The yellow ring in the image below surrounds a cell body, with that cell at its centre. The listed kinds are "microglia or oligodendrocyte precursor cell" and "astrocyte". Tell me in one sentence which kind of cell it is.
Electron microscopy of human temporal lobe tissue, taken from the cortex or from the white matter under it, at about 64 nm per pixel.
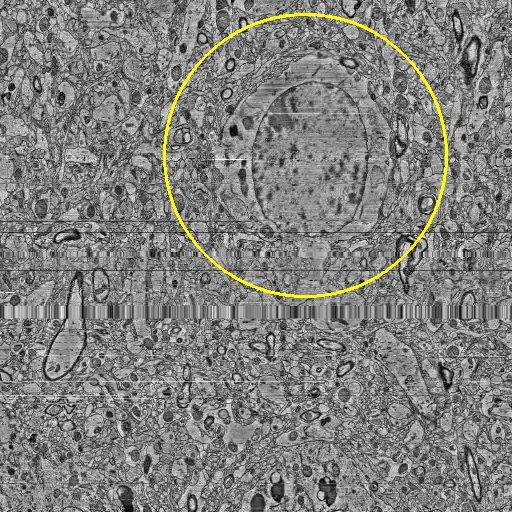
The centre of the ring holds an astrocyte.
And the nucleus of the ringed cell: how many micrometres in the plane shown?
In this plane, approximately 10 by 7 micrometers.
